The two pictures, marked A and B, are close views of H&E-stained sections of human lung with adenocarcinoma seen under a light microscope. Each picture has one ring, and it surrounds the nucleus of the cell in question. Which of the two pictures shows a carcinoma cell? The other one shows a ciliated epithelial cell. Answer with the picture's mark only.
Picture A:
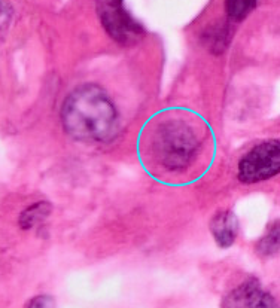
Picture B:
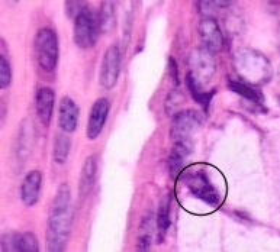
A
